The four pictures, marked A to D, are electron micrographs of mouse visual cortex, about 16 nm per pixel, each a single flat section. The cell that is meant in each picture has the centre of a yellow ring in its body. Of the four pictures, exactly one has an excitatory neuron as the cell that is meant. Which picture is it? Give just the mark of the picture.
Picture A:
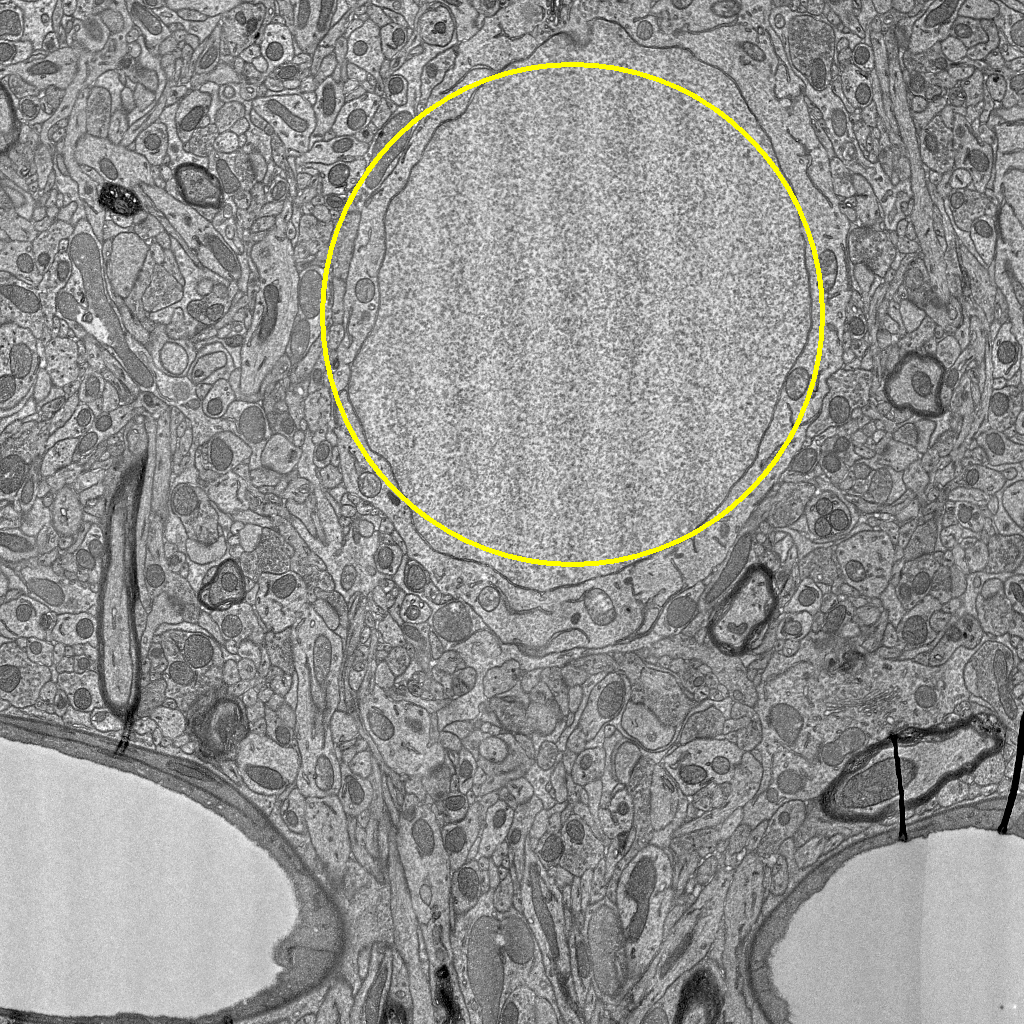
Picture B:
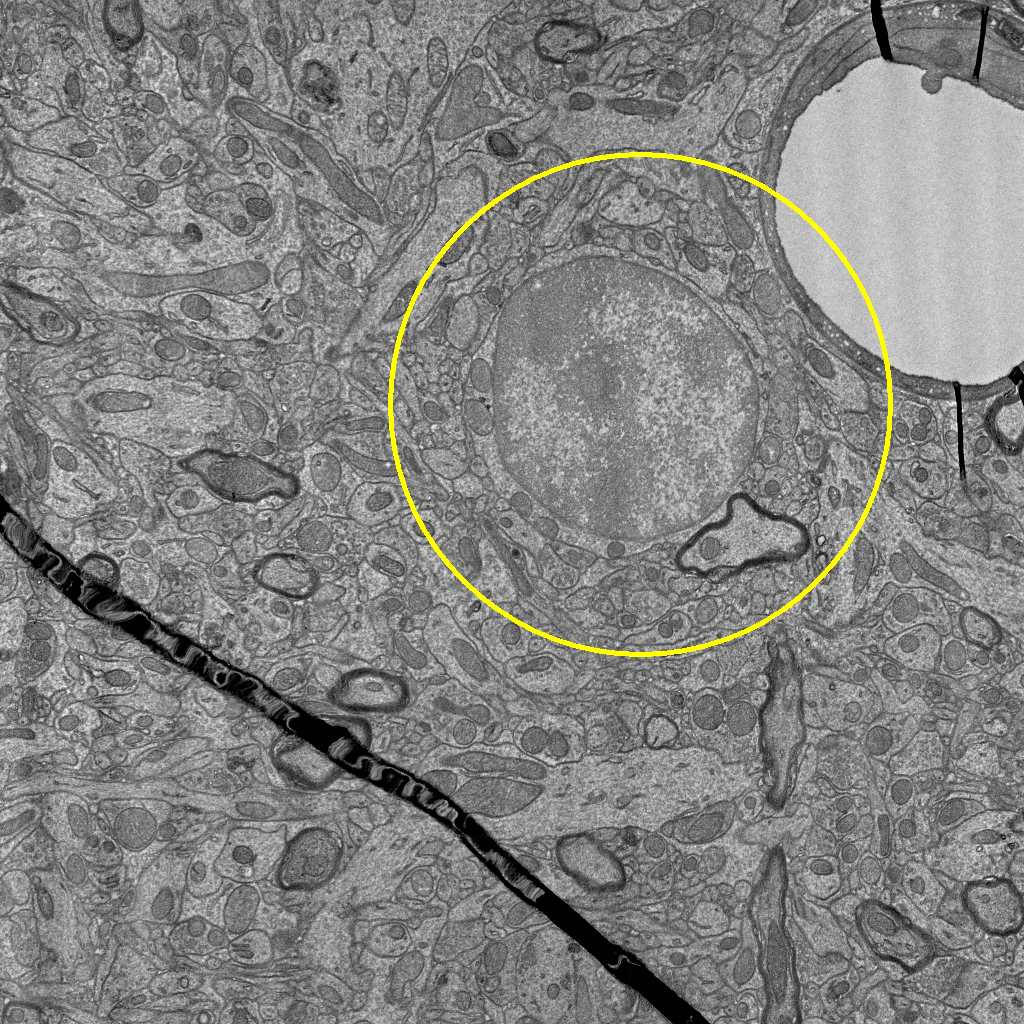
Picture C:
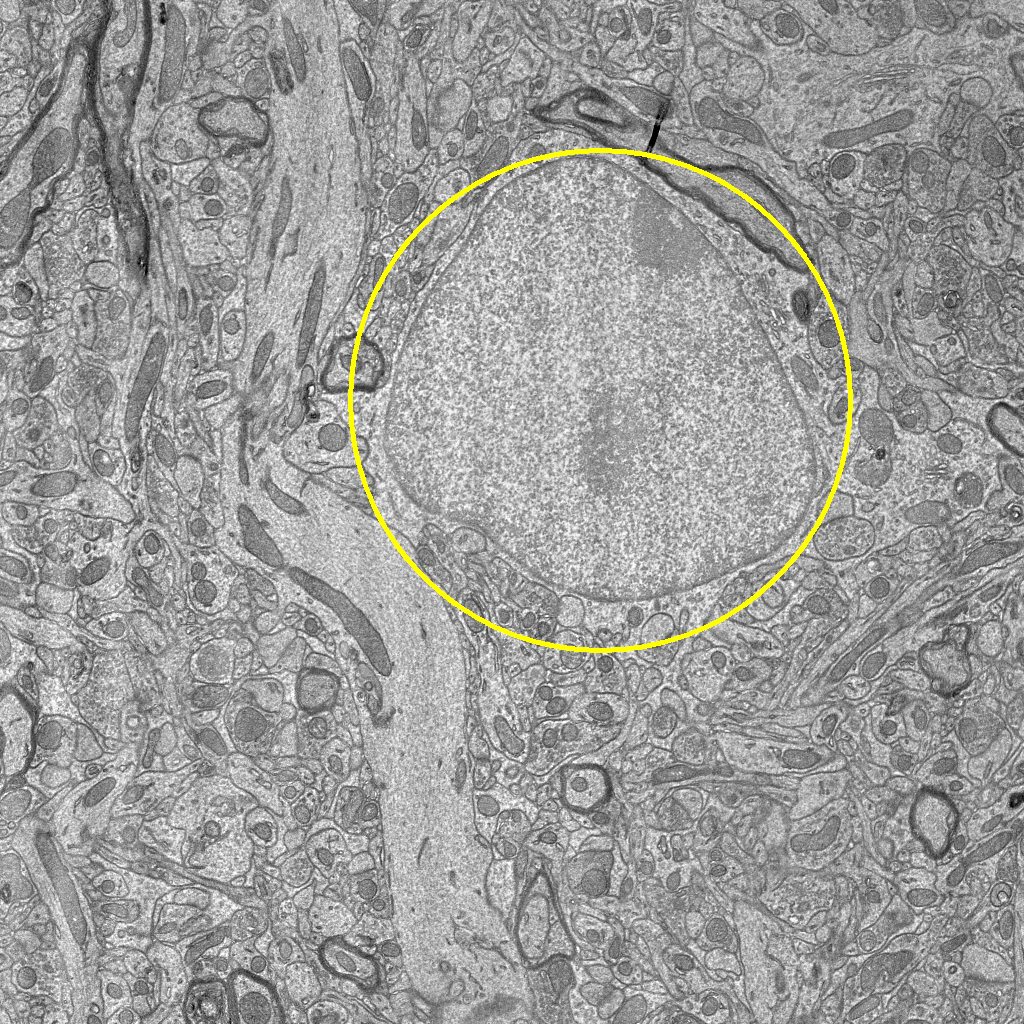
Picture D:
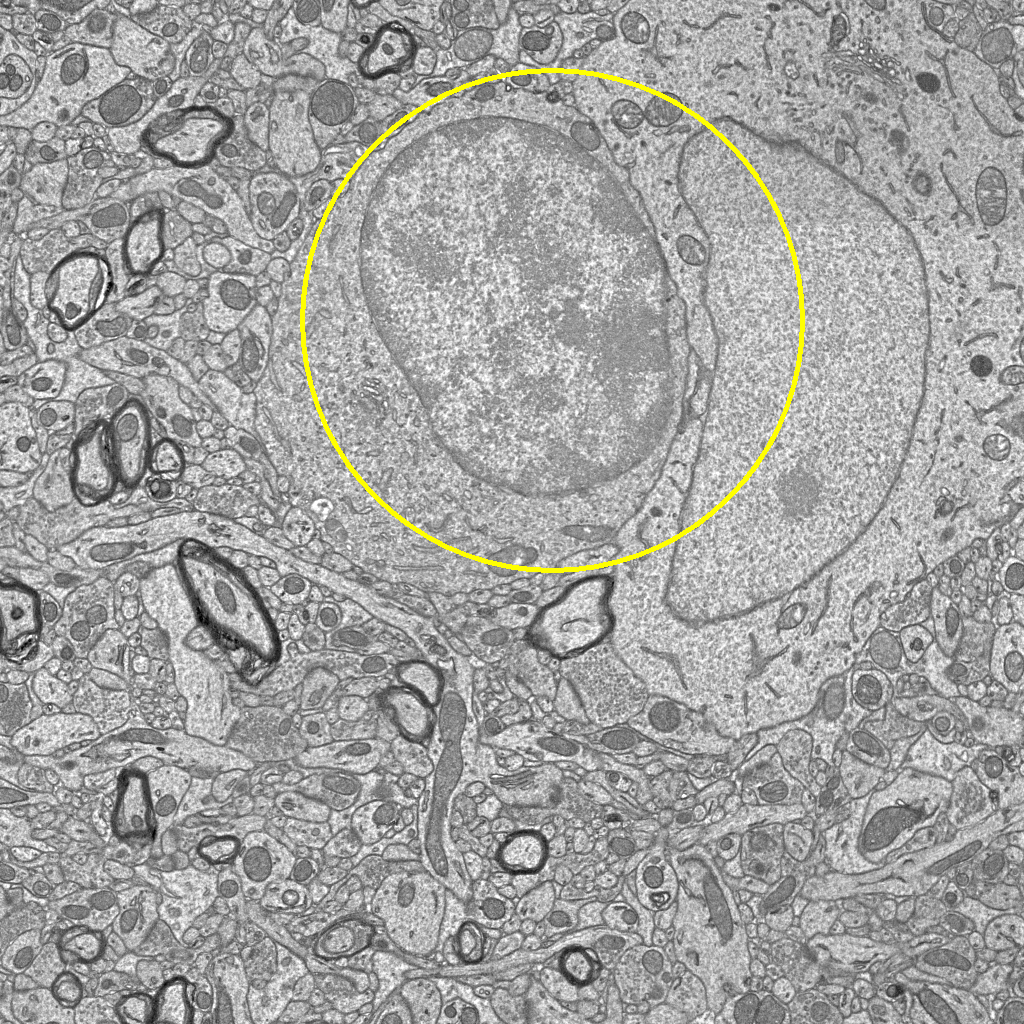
A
